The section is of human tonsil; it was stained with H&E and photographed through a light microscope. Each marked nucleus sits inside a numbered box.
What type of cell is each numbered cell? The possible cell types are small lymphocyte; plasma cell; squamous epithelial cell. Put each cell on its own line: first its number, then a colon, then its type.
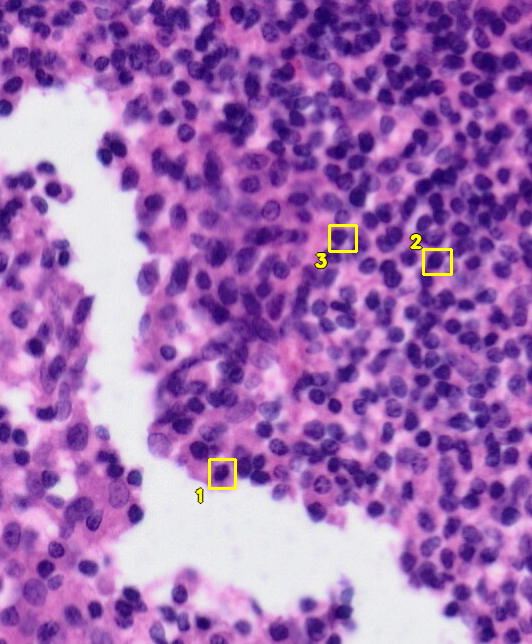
1: plasma cell
2: small lymphocyte
3: small lymphocyte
